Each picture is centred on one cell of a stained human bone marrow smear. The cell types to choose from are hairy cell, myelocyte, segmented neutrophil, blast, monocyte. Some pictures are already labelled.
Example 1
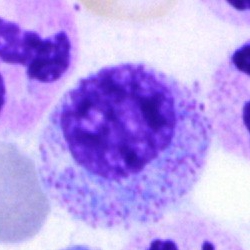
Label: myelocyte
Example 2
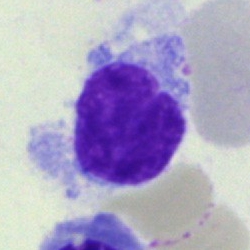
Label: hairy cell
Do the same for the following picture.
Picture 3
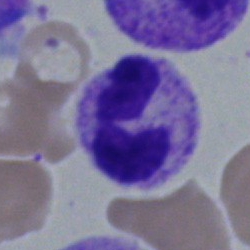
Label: segmented neutrophil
